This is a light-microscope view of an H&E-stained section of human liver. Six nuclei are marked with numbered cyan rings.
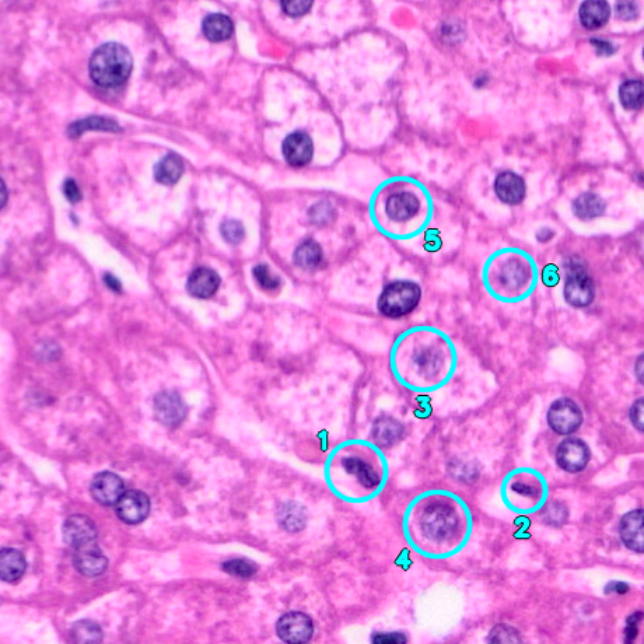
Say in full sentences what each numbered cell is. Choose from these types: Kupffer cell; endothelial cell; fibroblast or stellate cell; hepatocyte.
Cell 1 is a Kupffer cell, cell 2 is an endothelial cell, cell 3 is a hepatocyte, cell 4 is a hepatocyte, cell 5 is a hepatocyte and cell 6 is a hepatocyte.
